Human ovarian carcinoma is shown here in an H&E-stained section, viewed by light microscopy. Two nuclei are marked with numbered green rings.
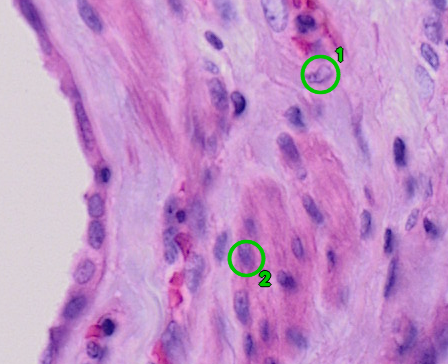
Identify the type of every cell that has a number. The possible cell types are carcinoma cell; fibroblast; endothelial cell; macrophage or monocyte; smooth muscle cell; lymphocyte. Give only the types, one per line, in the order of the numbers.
endothelial cell
smooth muscle cell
